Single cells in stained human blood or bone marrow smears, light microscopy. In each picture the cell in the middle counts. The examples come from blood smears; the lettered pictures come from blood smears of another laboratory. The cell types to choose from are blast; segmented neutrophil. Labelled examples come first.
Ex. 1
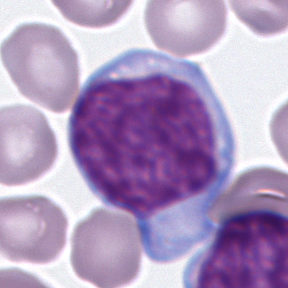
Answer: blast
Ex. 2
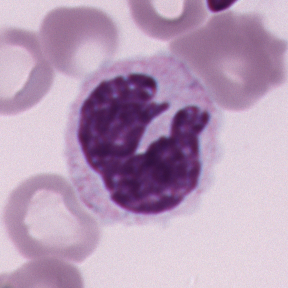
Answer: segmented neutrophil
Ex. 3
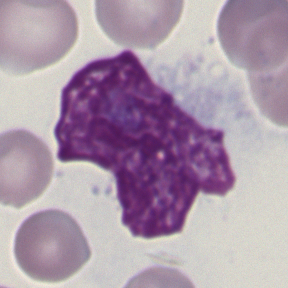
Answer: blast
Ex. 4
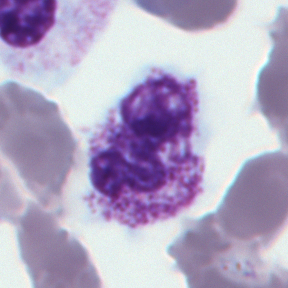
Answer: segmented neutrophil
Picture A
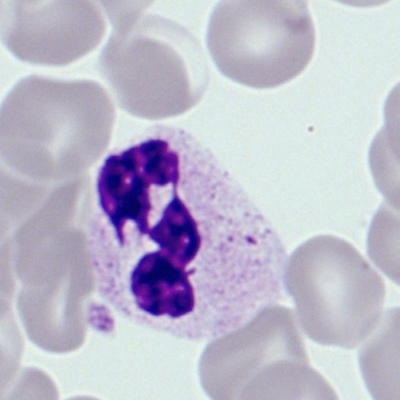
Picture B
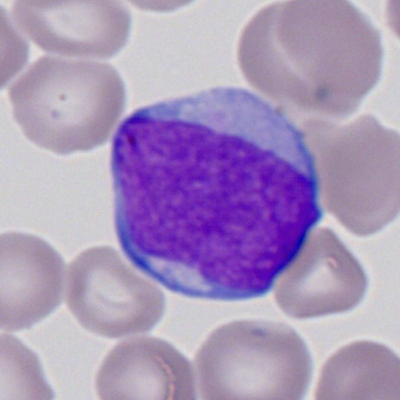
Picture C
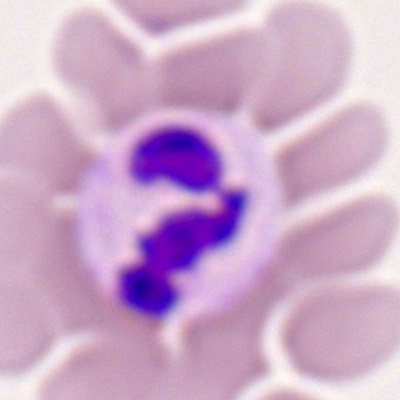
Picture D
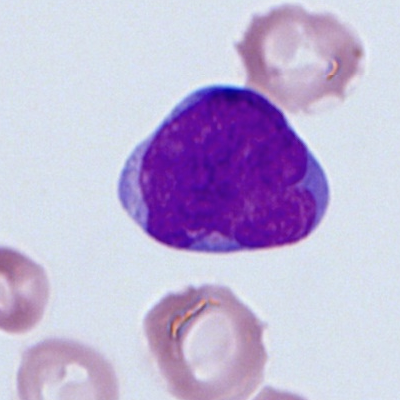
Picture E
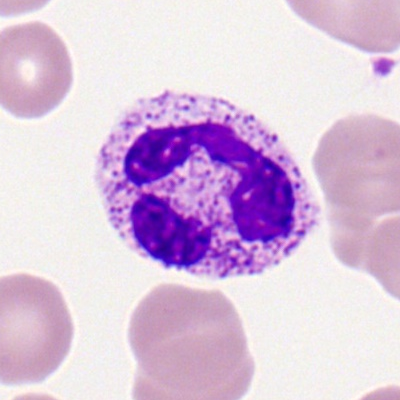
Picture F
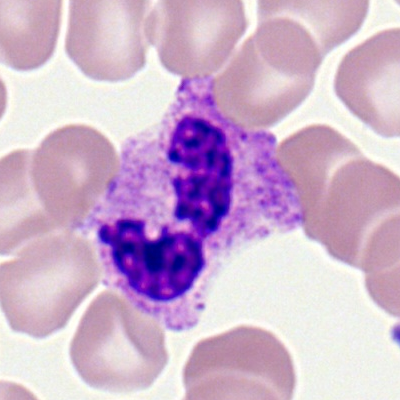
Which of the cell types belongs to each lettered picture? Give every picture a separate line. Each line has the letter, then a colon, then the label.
A: segmented neutrophil
B: blast
C: segmented neutrophil
D: blast
E: segmented neutrophil
F: segmented neutrophil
